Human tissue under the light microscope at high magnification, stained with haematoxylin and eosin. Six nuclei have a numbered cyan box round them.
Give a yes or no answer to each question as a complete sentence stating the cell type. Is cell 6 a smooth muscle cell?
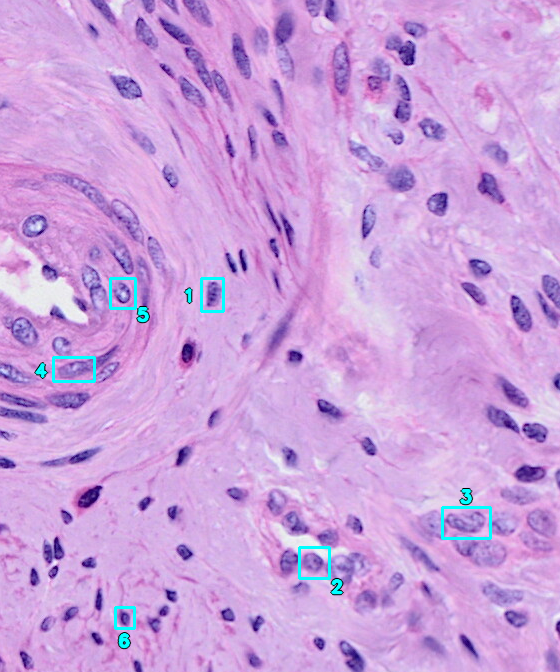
Yes, it is a smooth muscle cell that carries the number 6.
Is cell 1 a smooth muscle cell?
No, cell number 1 is a fibroblast; it is not a smooth muscle cell.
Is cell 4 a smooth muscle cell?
Yes, within this section, cell number 4 is a smooth muscle cell.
